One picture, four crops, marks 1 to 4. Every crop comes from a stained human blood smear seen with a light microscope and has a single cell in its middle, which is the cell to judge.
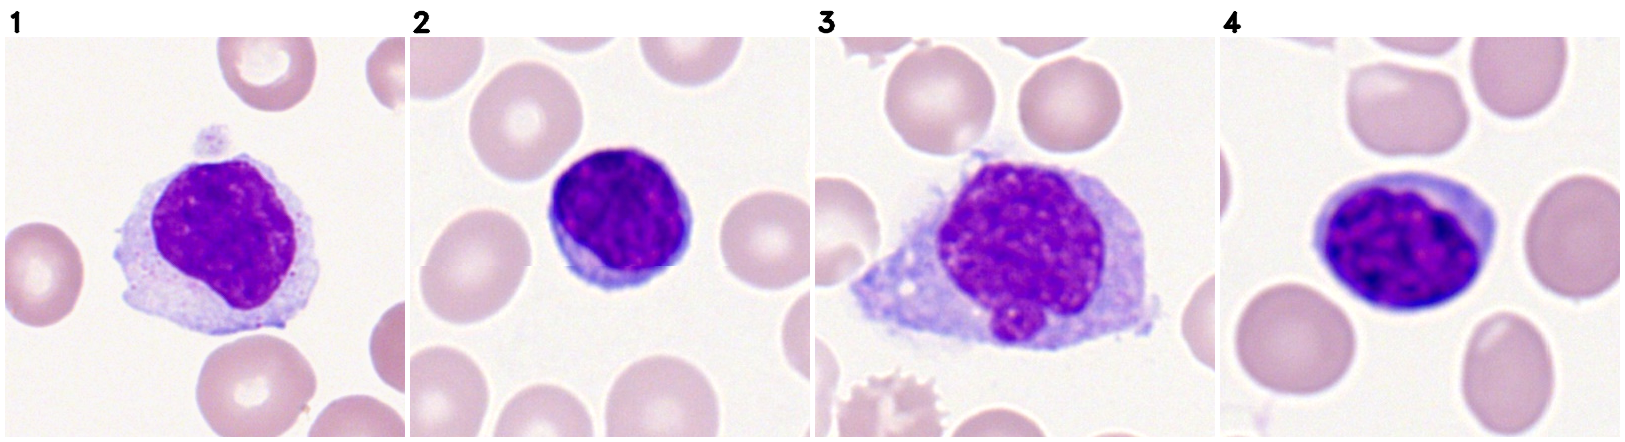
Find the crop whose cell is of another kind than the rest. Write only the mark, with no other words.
3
